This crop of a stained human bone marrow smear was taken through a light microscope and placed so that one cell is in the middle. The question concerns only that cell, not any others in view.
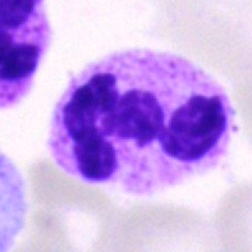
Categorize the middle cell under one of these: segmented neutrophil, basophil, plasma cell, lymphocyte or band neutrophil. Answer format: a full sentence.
In this crop, the cell at the very middle is a segmented neutrophil.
